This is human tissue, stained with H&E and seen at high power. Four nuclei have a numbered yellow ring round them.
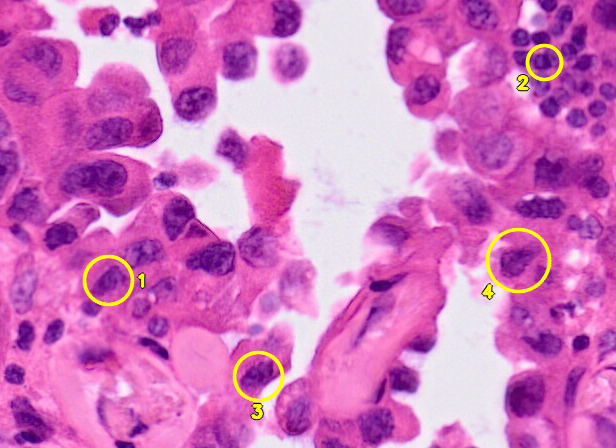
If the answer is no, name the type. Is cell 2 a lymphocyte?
Yes.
